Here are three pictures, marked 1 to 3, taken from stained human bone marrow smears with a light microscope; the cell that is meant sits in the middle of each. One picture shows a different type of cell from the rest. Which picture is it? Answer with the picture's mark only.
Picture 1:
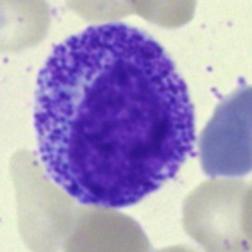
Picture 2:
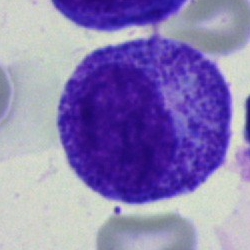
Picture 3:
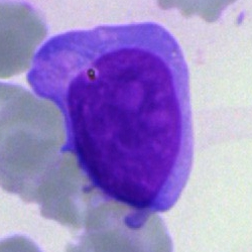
3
